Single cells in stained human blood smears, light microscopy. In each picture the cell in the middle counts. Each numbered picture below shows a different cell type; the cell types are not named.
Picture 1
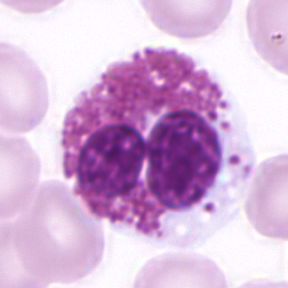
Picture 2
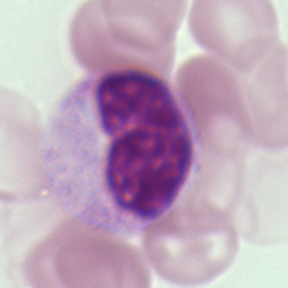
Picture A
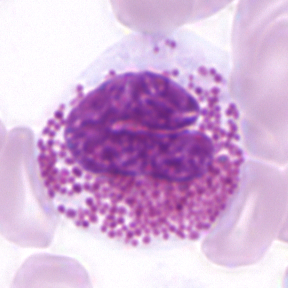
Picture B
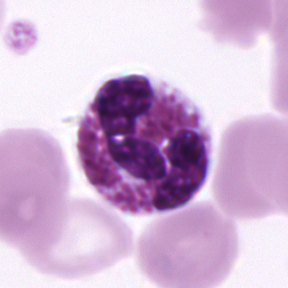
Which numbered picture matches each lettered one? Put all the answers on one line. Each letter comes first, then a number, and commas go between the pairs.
A 1, B 1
